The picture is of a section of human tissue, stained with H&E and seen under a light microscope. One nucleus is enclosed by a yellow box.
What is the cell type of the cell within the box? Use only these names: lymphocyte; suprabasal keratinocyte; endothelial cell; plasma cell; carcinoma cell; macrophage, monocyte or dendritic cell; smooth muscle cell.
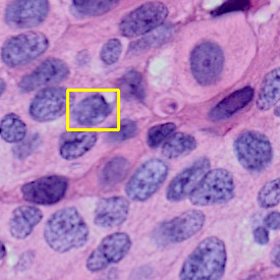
carcinoma cell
